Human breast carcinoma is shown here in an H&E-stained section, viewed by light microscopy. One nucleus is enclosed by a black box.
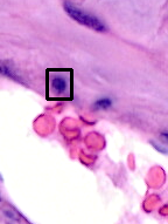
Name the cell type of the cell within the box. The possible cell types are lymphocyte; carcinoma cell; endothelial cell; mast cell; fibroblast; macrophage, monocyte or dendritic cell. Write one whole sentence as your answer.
With respect to cell type, the cell within the box is an endothelial cell.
